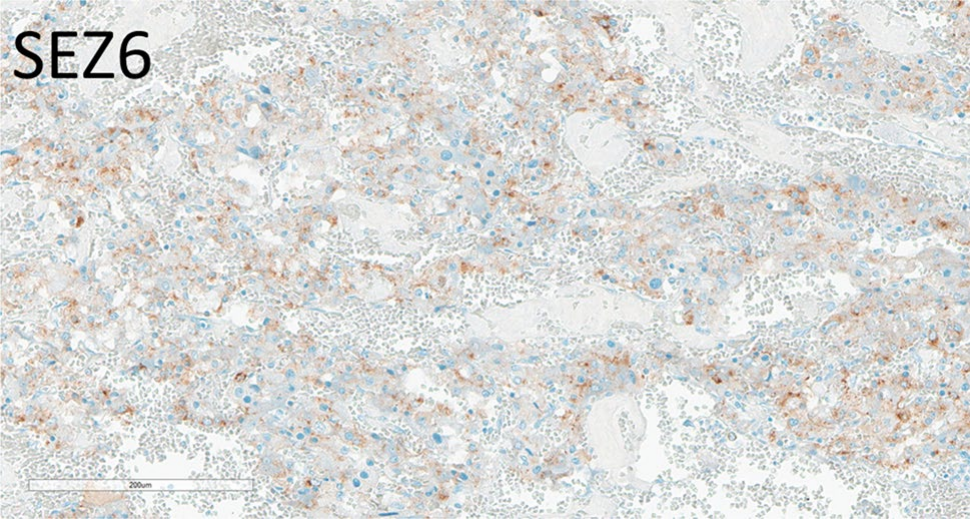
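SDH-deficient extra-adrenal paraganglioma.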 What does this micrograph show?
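Tumor cells lie in irregular bands and clusters running across the field. They are polygonal with round to oval blue nuclei and pale to lightly granular cytoplasm. Fine brown granular staining lies in the cytoplasm and along the cell borders of roughly half of the tumor cells. Other tumor cells in the same clusters stay unstained. Between the bands lie abundant pale, unstained red blood cells. Scattered pale, glassy acellular areas also lie between the bands.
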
